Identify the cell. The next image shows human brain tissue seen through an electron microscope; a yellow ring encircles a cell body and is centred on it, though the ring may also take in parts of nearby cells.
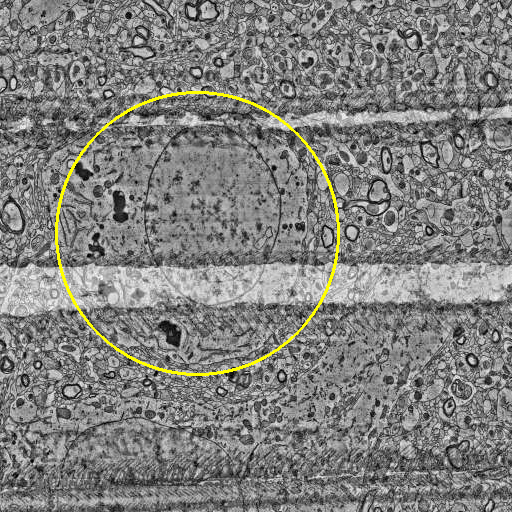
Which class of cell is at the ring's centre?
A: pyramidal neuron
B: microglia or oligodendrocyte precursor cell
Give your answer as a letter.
A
